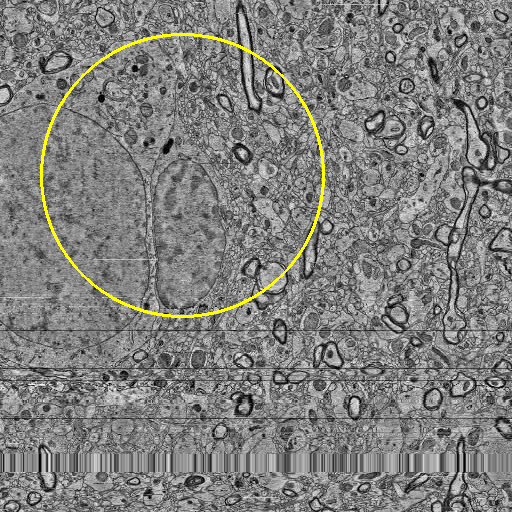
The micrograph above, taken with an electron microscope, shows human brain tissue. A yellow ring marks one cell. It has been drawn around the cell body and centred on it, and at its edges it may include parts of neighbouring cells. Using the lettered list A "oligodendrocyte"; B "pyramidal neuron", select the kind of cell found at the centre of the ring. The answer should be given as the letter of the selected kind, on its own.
A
